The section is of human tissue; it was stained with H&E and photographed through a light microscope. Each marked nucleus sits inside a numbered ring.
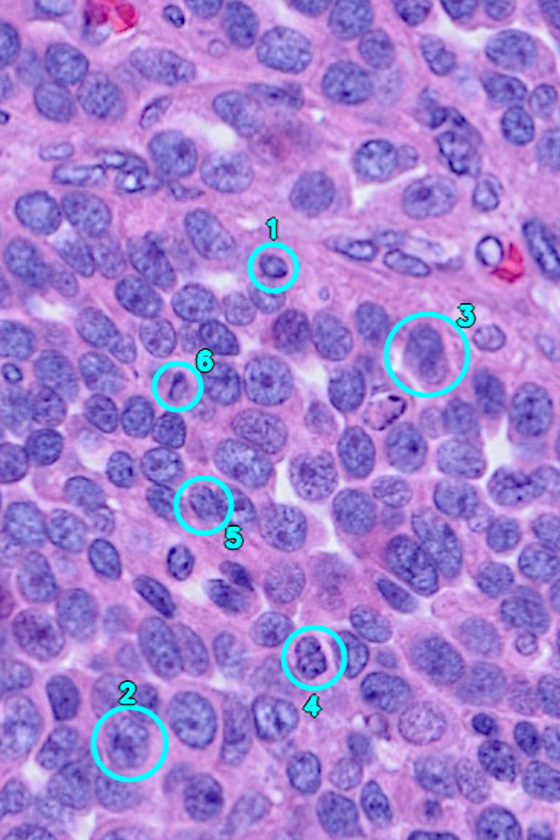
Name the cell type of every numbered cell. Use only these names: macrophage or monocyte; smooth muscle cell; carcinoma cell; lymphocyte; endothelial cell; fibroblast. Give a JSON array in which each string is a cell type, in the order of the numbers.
["macrophage or monocyte", "carcinoma cell", "carcinoma cell", "macrophage or monocyte", "carcinoma cell", "macrophage or monocyte"]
